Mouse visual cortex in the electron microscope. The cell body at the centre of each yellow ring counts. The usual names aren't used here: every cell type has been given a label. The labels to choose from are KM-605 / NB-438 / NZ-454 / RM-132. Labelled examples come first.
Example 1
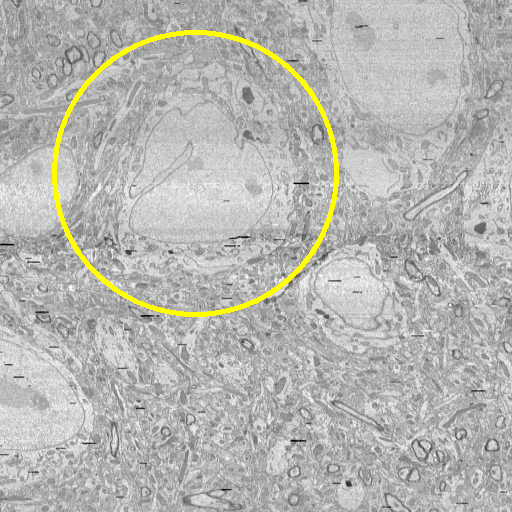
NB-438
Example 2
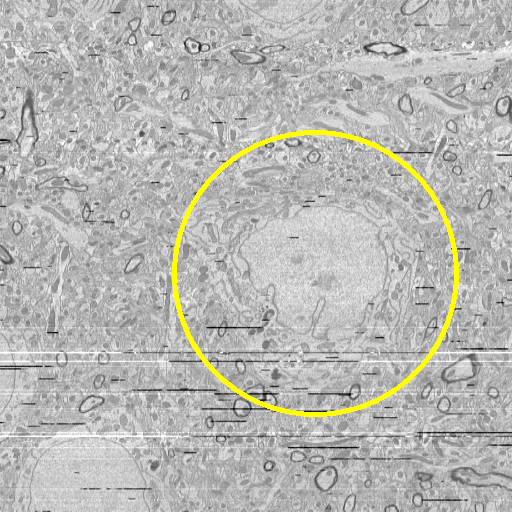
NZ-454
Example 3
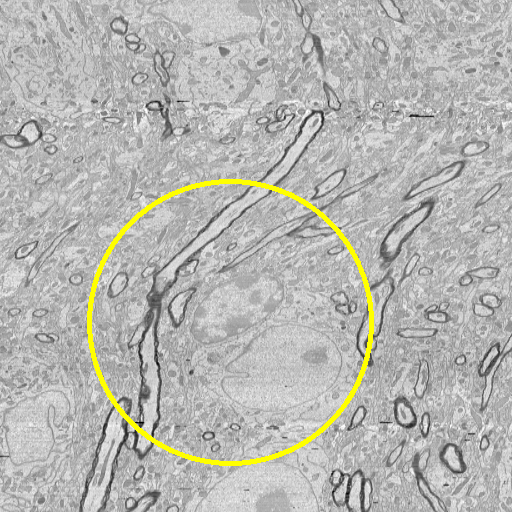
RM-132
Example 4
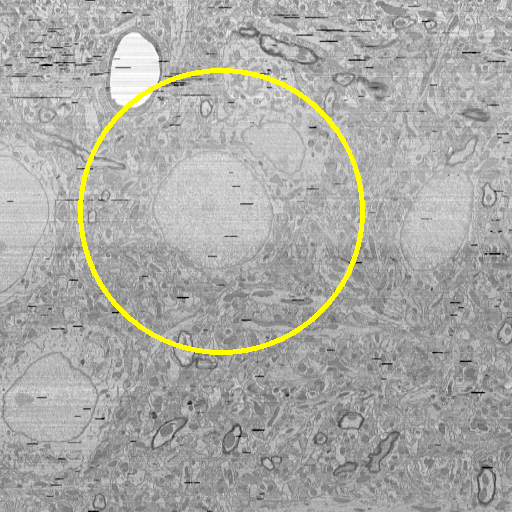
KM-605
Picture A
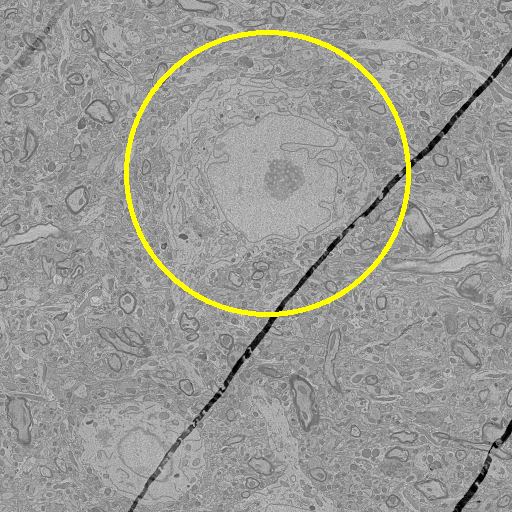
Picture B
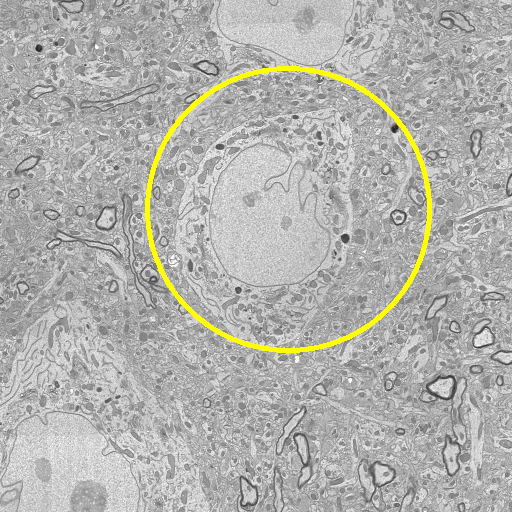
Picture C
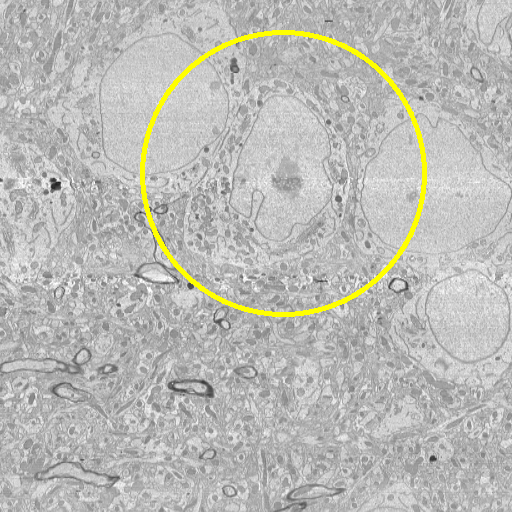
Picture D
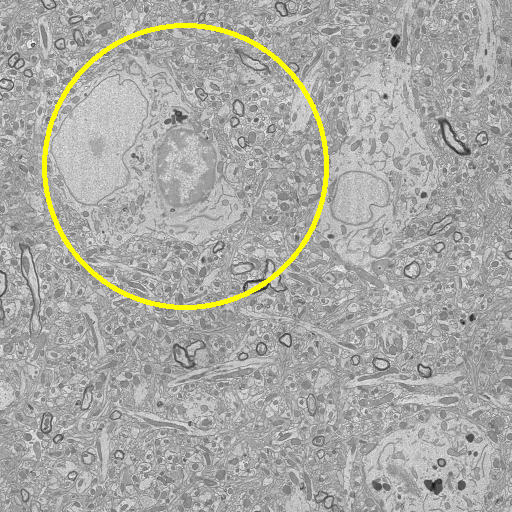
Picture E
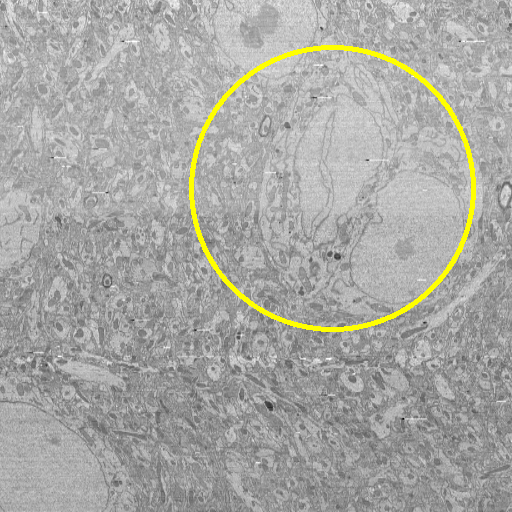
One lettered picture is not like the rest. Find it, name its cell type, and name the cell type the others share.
D differs and shows RM-132; the others show NZ-454.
